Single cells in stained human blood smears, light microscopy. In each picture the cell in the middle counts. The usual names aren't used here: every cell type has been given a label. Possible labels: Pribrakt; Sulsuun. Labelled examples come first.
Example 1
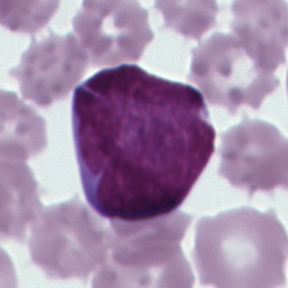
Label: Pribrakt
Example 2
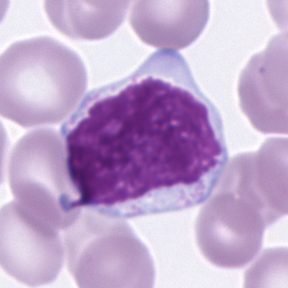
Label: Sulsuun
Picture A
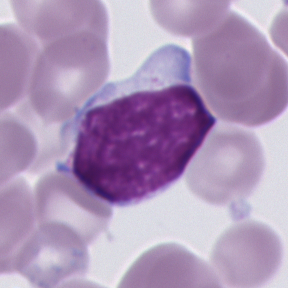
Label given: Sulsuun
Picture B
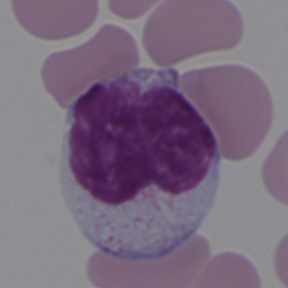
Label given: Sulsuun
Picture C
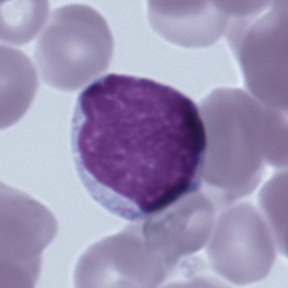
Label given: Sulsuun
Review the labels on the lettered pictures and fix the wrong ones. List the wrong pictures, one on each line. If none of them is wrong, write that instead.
No label is wrong.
